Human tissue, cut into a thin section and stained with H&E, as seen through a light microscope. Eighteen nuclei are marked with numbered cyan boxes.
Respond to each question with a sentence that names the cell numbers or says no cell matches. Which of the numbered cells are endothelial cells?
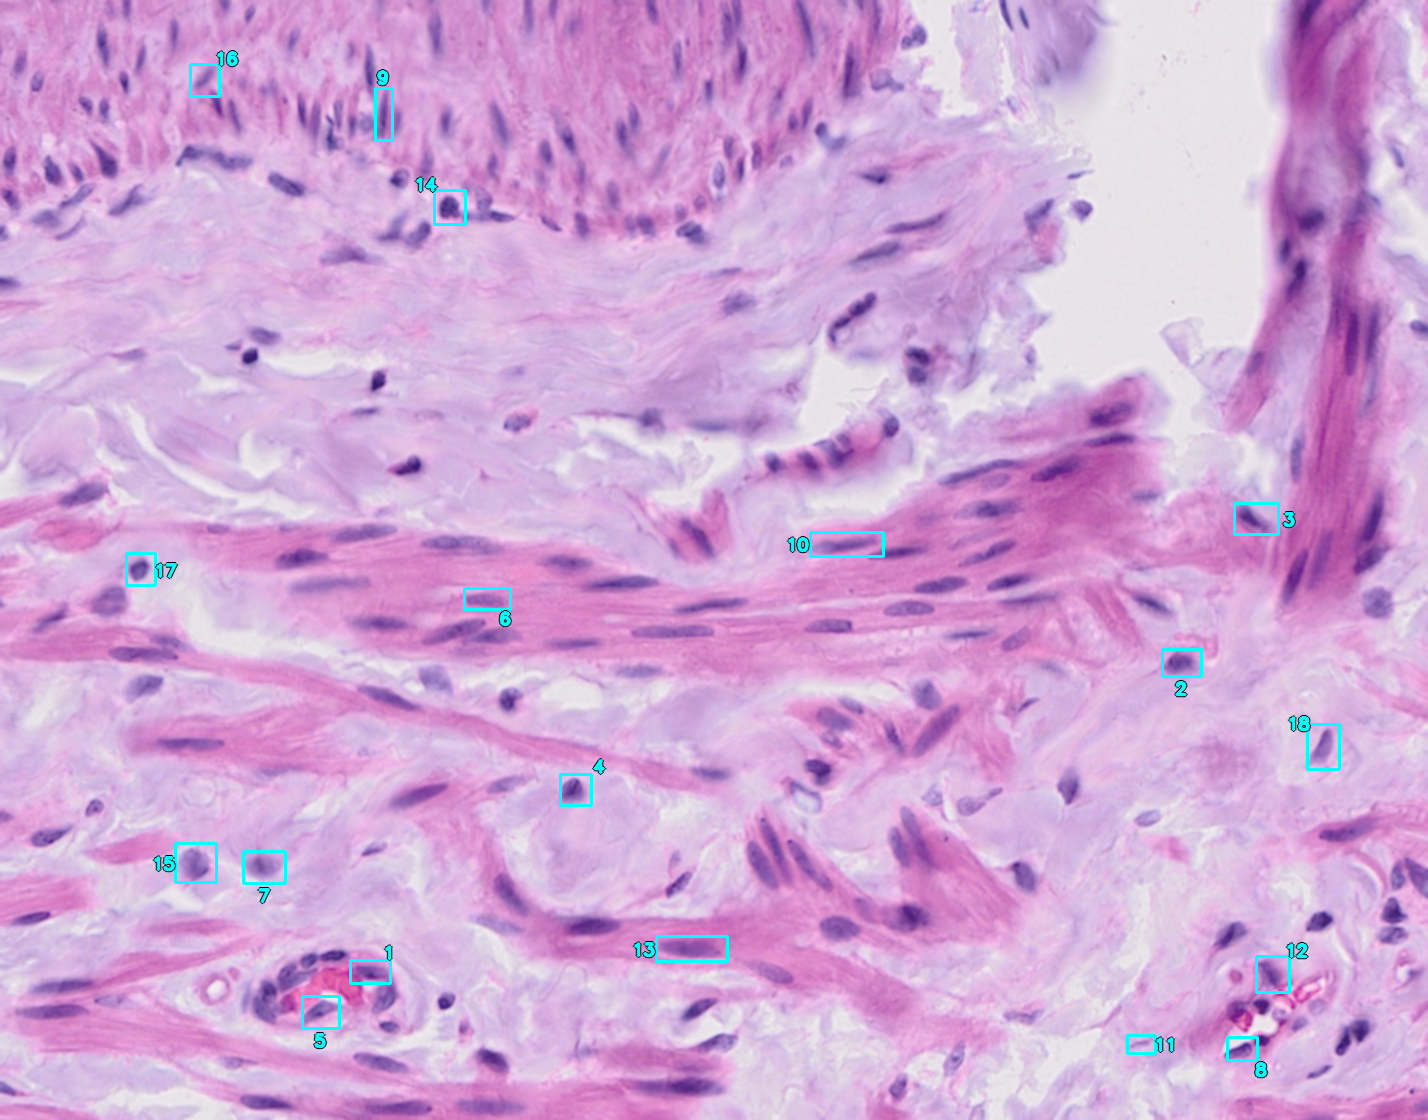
Cells 1, 5, 8 and 12 share one type; they are endothelial cells.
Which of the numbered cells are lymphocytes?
The identity of cells 14 and 17: they are lymphocytes.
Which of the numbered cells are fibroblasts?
The identity of cells 2, 4, 7, 11, 15 and 18: they are fibroblasts.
